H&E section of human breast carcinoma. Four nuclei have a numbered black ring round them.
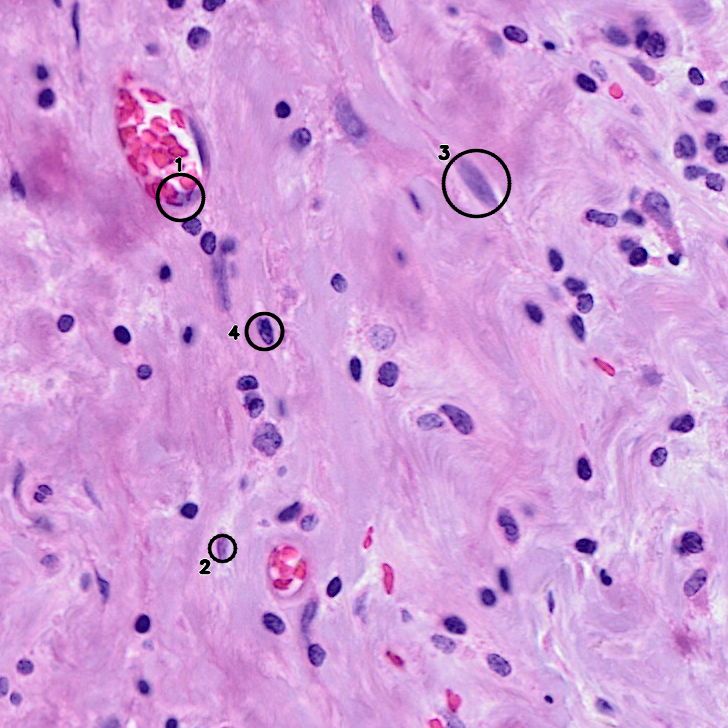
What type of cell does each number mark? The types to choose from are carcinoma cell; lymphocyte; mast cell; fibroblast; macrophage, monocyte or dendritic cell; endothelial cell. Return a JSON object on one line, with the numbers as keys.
{"1": "endothelial cell", "2": "fibroblast", "3": "fibroblast", "4": "lymphocyte"}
